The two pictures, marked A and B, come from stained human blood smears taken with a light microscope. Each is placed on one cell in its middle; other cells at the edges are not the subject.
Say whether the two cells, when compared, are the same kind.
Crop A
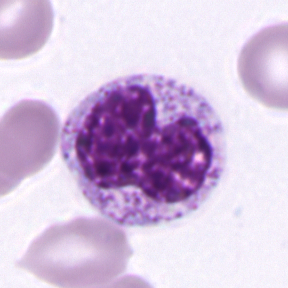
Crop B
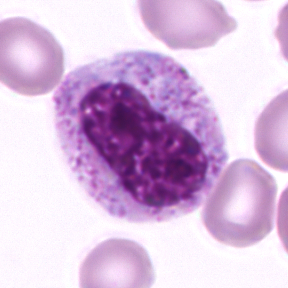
yes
